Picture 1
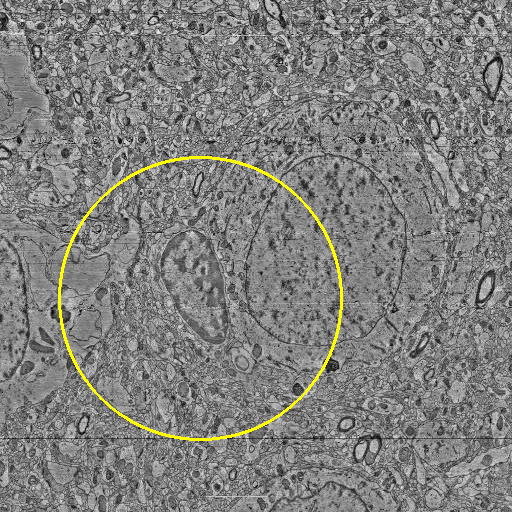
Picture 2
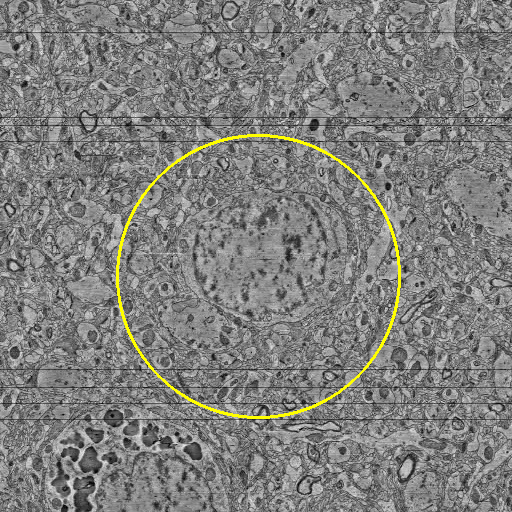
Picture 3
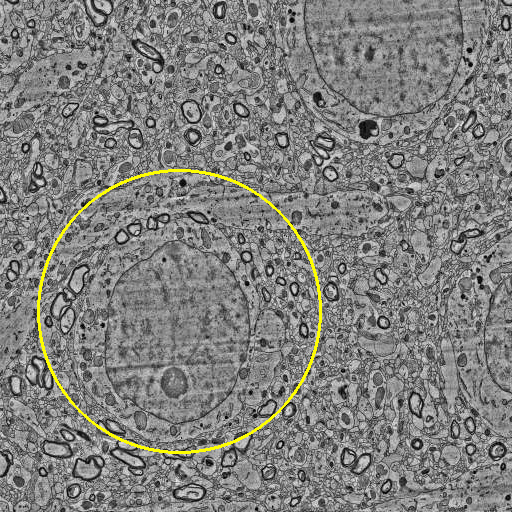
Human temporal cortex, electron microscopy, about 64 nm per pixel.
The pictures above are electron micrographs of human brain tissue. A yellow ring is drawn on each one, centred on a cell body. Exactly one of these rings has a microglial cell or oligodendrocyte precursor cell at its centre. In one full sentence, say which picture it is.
Picture 1 has it at the centre of its ring.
